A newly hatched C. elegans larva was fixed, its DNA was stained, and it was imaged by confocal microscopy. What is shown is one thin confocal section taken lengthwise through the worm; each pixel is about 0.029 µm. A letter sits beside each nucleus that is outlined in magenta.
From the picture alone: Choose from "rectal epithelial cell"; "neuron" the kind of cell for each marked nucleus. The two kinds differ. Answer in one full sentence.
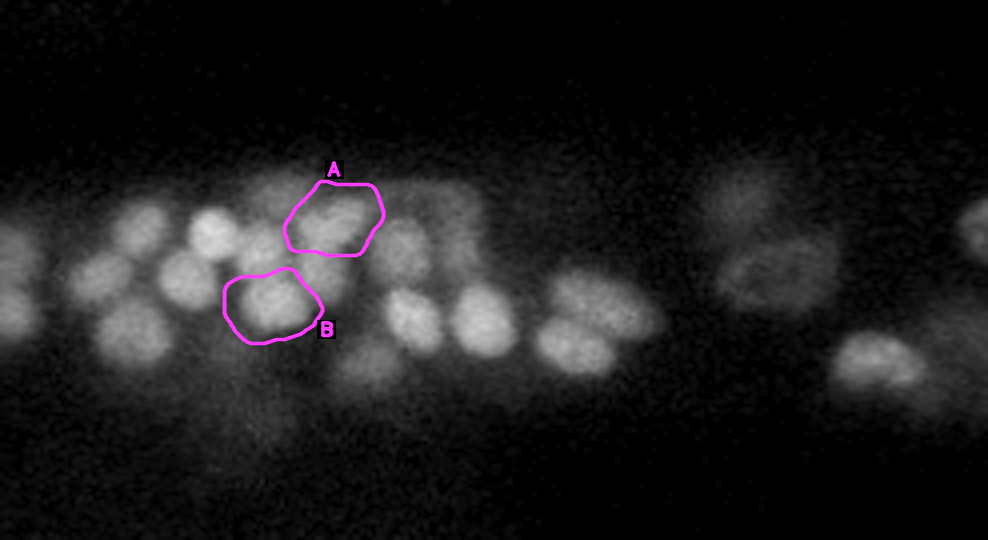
The nucleus A is that of a rectal epithelial cell, while B is that of a neuron.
